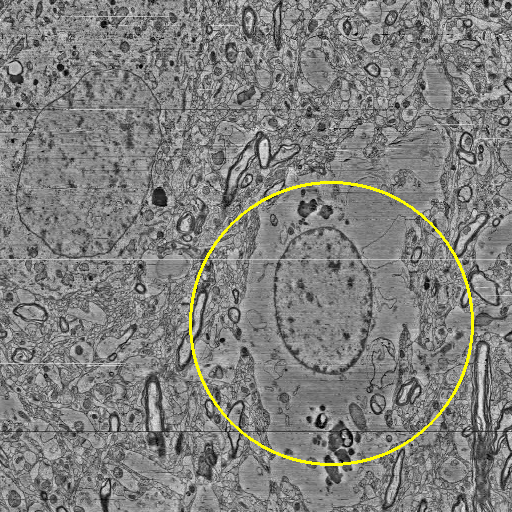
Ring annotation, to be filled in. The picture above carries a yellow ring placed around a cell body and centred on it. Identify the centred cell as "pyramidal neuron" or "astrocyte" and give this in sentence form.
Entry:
The cell in the middle of the ring is an astrocyte.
